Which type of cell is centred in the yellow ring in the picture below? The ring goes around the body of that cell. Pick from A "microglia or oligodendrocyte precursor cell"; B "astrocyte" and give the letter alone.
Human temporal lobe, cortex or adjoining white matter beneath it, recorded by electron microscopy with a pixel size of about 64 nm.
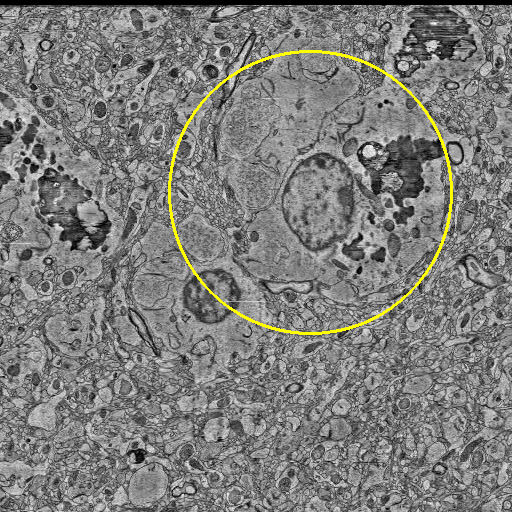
B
